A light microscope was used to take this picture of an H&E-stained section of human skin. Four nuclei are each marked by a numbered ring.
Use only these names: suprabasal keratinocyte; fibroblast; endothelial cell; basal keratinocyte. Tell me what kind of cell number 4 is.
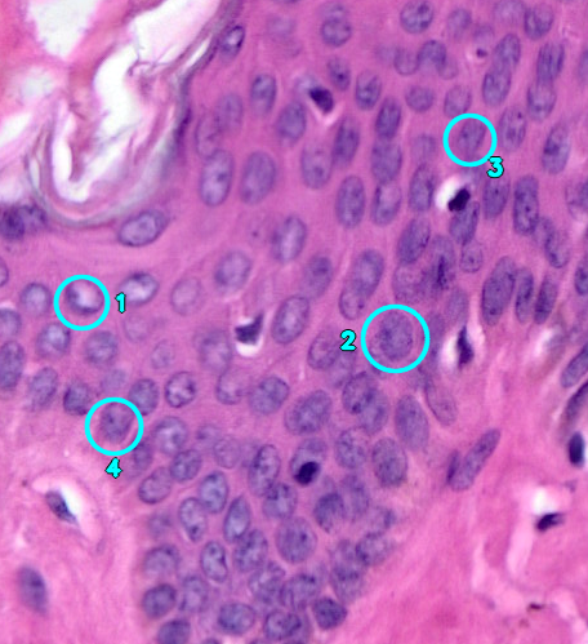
basal keratinocyte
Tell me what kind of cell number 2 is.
suprabasal keratinocyte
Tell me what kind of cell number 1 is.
suprabasal keratinocyte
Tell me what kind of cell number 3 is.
suprabasal keratinocyte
